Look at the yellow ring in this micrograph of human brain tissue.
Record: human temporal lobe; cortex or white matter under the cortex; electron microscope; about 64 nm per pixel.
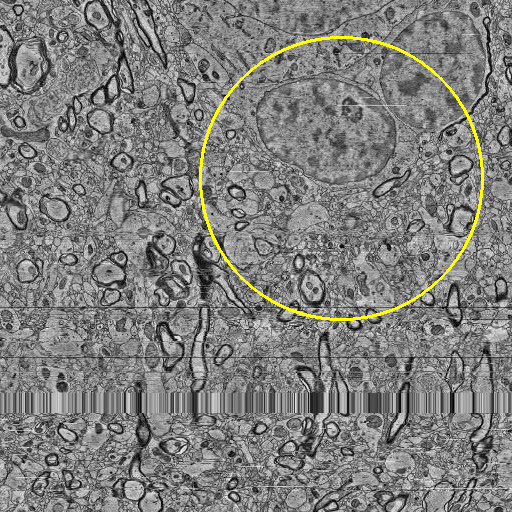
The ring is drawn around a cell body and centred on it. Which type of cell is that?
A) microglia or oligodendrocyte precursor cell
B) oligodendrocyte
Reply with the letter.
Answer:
B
